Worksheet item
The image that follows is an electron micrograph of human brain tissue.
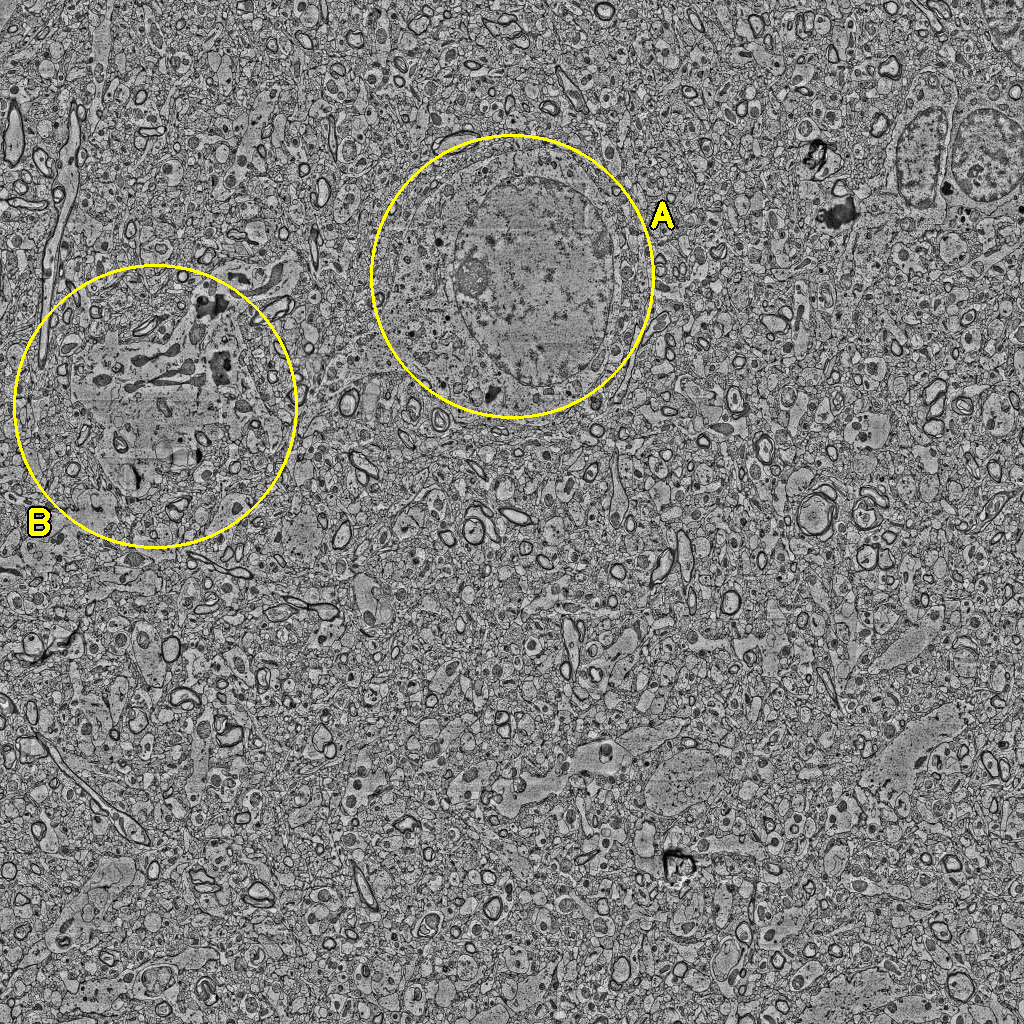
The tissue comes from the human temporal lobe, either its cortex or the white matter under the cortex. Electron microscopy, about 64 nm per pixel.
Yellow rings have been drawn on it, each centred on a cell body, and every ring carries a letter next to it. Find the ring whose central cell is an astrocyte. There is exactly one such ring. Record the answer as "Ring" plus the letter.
Ring B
